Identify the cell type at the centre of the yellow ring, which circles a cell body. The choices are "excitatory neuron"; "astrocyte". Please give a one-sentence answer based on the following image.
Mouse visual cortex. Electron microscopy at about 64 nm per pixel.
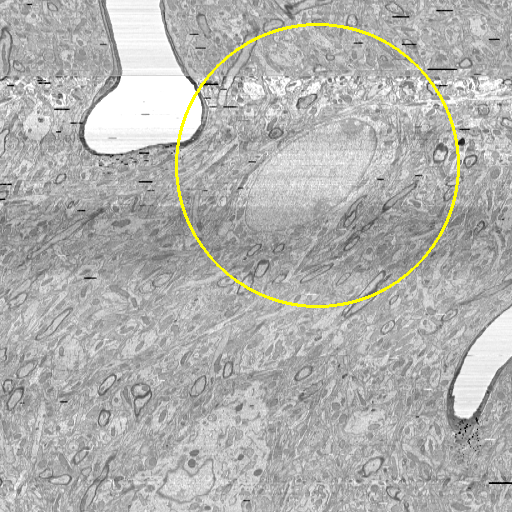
The cell marked by the ring is an astrocyte.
